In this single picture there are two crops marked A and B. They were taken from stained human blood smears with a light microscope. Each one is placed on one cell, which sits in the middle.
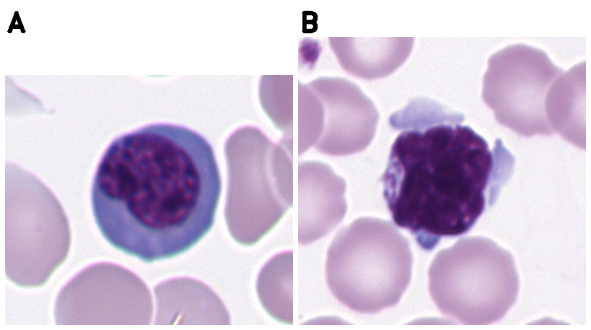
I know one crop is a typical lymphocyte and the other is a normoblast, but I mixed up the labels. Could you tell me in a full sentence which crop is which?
The cell at the centre of crop A is a normoblast, and at the centre of crop B, a typical lymphocyte.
